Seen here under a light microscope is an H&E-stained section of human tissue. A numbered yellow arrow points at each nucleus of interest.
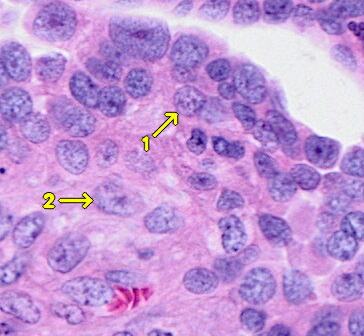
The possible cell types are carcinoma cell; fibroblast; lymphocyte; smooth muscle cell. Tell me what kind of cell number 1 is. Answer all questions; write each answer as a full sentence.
The marked nucleus 1 is that of a carcinoma cell.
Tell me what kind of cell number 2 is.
Looking at the numbered marks, cell 2 is a fibroblast.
